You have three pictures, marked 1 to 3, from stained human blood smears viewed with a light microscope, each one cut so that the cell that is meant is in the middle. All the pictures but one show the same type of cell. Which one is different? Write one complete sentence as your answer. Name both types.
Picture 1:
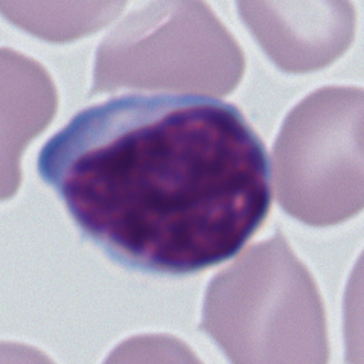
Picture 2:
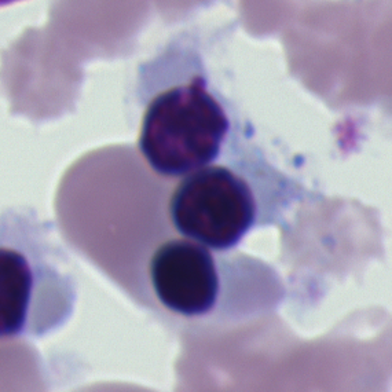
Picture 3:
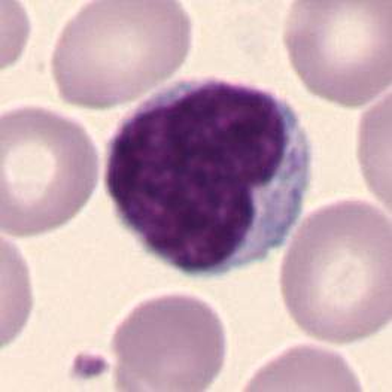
The different one is picture 2; it shows a normoblast, whereas all the others show typical lymphocytes.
